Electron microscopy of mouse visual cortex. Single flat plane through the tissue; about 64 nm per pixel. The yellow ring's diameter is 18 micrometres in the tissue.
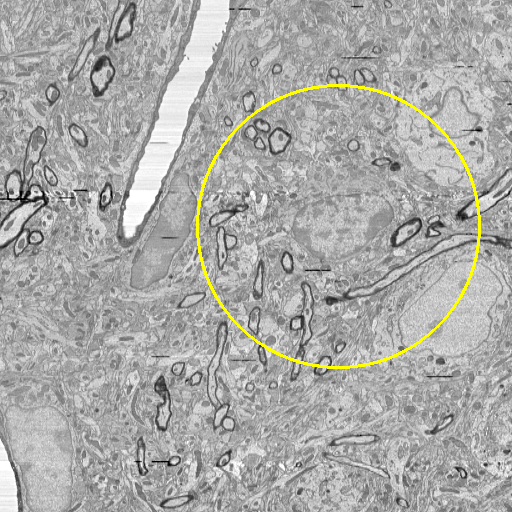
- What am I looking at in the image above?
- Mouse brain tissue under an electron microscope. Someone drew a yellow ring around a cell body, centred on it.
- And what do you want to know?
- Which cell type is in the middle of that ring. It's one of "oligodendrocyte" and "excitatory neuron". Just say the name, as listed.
oligodendrocyte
